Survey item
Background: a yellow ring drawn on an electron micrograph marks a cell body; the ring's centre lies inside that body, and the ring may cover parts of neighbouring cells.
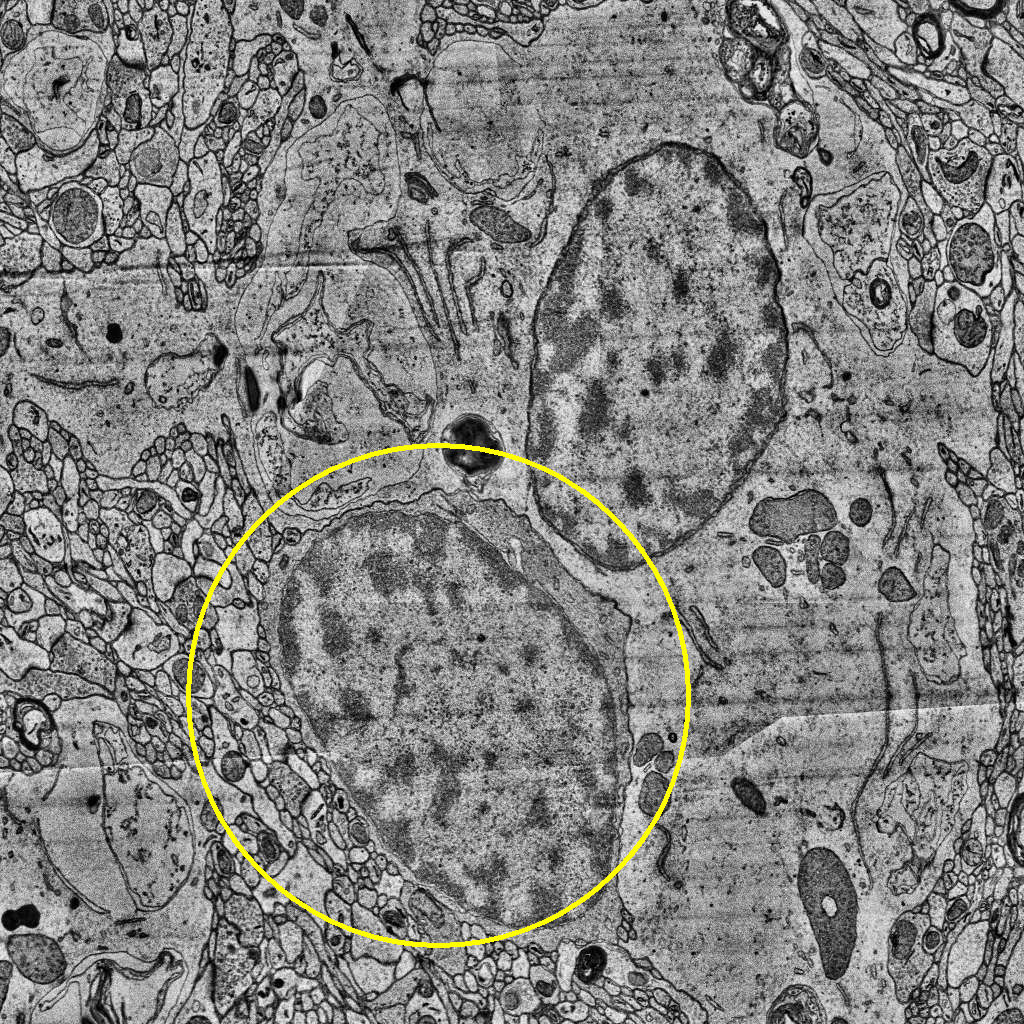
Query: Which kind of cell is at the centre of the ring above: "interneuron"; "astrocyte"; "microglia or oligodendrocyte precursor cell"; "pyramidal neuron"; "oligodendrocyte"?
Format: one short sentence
The cell in the middle of the ring is an oligodendrocyte.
